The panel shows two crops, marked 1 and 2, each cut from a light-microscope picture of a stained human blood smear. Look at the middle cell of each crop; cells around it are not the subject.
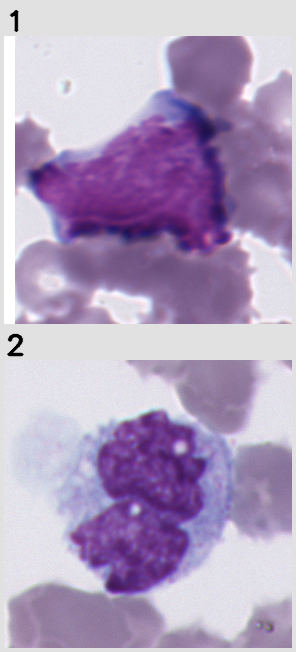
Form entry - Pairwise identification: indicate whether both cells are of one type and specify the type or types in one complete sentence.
No, the cell centred in crop 1 is a blast, and that centred in crop 2 is a monocyte.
